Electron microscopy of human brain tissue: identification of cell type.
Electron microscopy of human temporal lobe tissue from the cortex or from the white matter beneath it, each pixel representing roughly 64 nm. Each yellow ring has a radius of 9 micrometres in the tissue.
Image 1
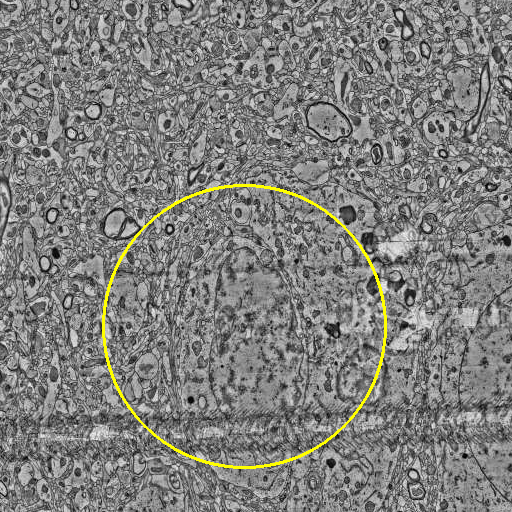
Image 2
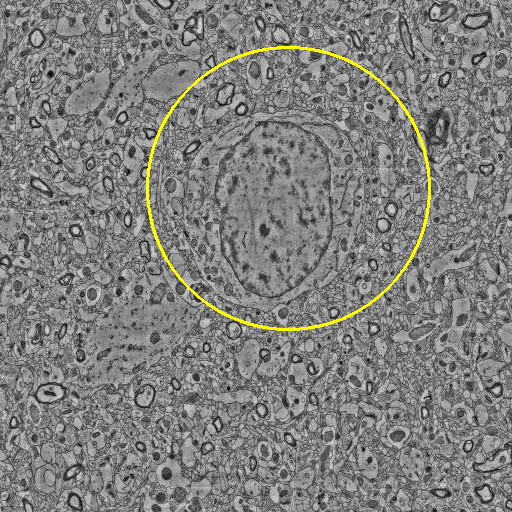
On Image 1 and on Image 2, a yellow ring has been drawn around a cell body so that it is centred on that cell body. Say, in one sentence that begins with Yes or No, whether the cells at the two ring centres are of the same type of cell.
Yes, both cells are the same type of cell.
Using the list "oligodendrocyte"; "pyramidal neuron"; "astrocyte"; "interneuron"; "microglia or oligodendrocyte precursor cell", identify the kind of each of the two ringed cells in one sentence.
Both pictures show an interneuron at the centre of the ring.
